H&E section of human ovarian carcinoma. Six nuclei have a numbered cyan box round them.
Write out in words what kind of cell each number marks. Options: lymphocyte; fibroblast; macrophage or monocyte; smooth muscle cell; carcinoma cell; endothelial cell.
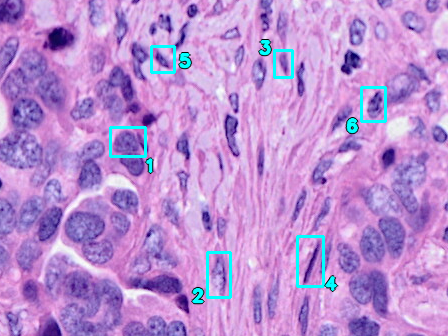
Cell 1 is a carcinoma cell. Cells 2, 3, 4 and 5 are fibroblasts. Cell 6 is a lymphocyte.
